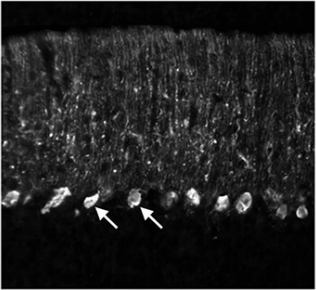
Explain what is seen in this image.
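A strip of layered brain cortex is seen in bright-on-dark fluorescence, with large rounded cell bodies set in a single regular row along the lower edge of a broad layer. From this row, fine bright processes climb upward through the layer above, giving it a combed, vertically striated look that reaches up to the surface. Scattered small bright dots and short fragments lie among the streaks. Beneath the row of large cell bodies lies a dark, unlabelled band. The row of large neurons with their upward-branching dendrites is the Purkinje cell layer, and the striated layer above is where their dendrites spread.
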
